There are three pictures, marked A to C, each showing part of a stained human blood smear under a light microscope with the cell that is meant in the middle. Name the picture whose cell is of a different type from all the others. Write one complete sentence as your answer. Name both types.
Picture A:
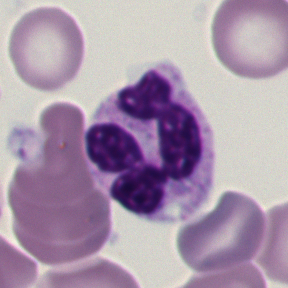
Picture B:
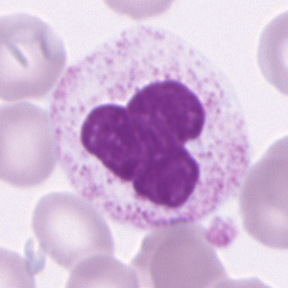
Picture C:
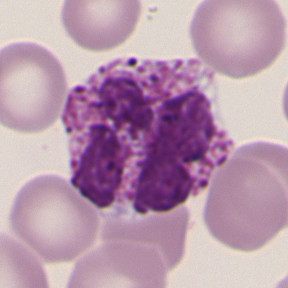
All pictures except C show segmented neutrophils; picture C shows a basophil.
